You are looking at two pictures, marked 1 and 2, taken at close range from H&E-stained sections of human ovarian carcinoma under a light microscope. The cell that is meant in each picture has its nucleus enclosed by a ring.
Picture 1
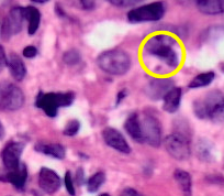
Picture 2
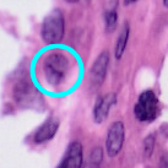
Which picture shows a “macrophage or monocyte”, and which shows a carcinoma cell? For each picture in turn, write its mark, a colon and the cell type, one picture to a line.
1: carcinoma cell
2: macrophage or monocyte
